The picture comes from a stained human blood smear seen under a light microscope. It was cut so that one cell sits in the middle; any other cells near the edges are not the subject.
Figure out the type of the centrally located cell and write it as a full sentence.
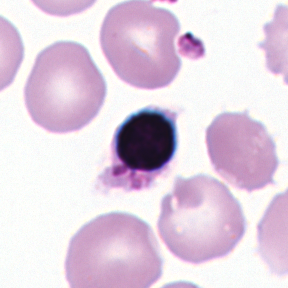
In this smear crop, the middle cell is an erythroblast.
